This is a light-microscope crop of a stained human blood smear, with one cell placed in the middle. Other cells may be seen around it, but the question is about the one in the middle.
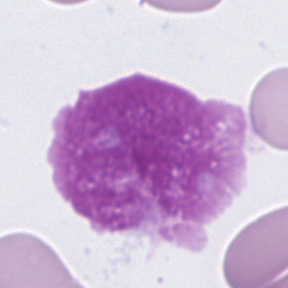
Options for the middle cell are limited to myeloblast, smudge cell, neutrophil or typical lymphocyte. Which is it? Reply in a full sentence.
As for the cell in the middle, it is a smudge cell.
